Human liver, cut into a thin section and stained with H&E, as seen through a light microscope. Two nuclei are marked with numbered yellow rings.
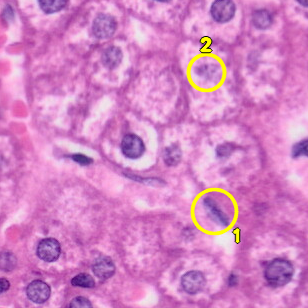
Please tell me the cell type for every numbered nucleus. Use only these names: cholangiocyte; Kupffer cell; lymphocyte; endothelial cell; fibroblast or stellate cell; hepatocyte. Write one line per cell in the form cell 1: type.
cell 1: endothelial cell
cell 2: hepatocyte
